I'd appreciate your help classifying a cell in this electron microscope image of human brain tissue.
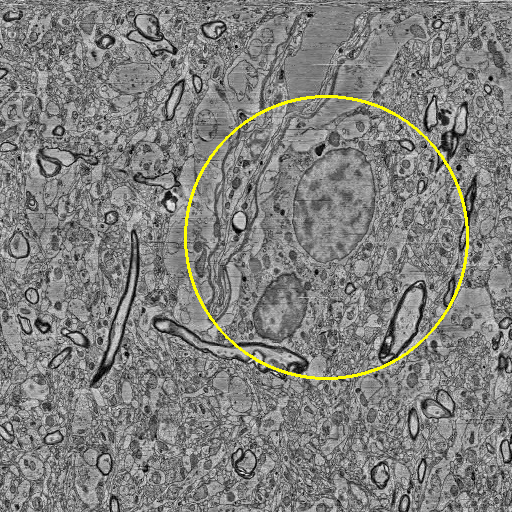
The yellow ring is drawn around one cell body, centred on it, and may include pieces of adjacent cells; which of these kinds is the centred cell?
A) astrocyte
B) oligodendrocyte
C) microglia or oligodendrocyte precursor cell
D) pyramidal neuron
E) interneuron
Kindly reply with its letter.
B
